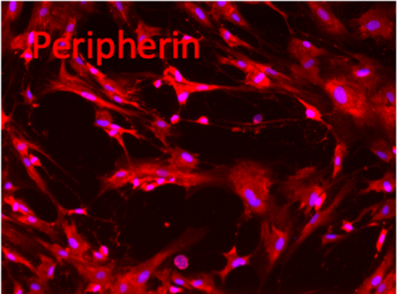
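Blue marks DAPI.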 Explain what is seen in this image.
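The cells are crowded and broad, with irregular, flattened cell bodies from which several processes of varying width extend. The red fills the cytoplasm throughout the cell bodies and their processes. Each cell has an oval blue nucleus, often appearing pink-purple where it lies under the red cytoplasm. Between groups of cells there are dark gaps where no cells lie.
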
